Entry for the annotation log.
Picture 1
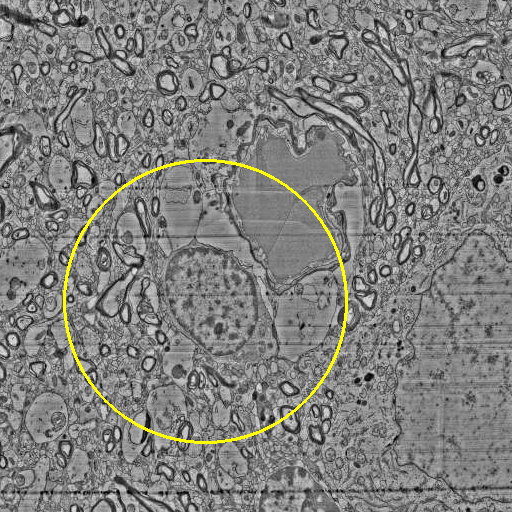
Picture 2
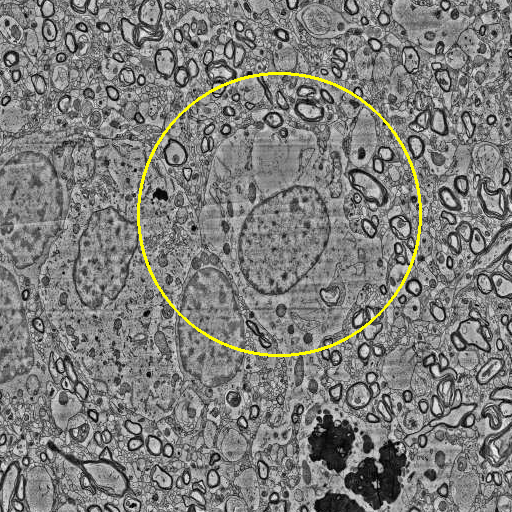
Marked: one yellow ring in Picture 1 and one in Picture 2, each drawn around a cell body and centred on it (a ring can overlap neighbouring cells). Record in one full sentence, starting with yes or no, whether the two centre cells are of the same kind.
No, the two cells are of two kinds.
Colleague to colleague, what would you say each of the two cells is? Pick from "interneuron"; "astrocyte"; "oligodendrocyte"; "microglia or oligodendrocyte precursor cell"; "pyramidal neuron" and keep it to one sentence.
The cell in the first picture is an oligodendrocyte; the second picture's cell is an astrocyte.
